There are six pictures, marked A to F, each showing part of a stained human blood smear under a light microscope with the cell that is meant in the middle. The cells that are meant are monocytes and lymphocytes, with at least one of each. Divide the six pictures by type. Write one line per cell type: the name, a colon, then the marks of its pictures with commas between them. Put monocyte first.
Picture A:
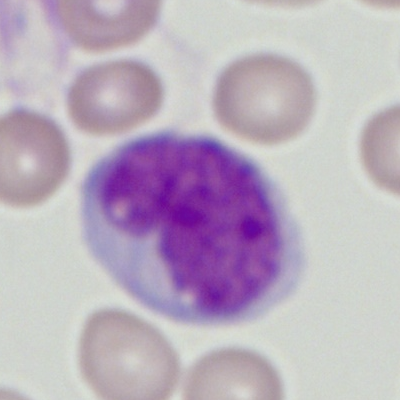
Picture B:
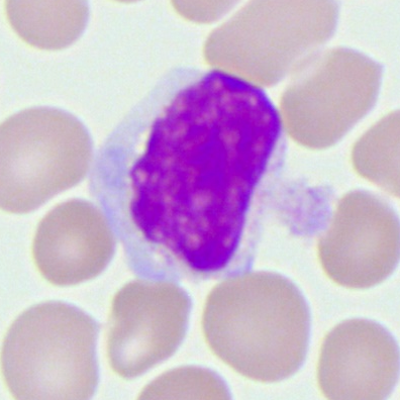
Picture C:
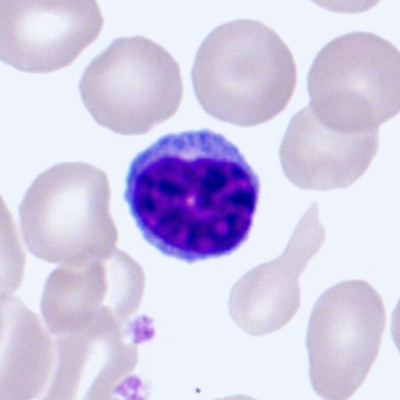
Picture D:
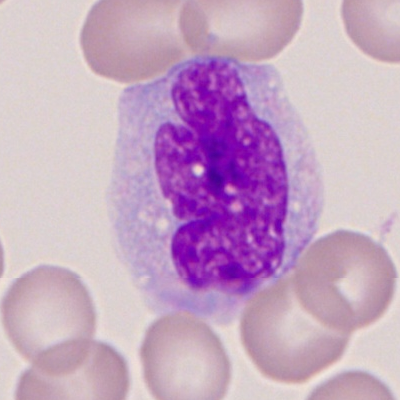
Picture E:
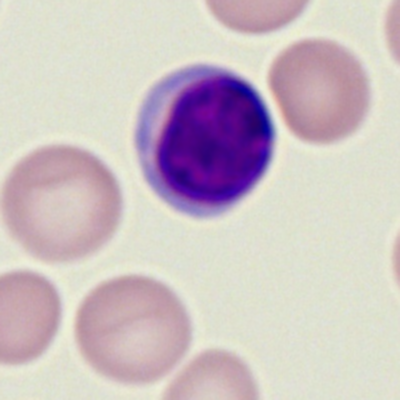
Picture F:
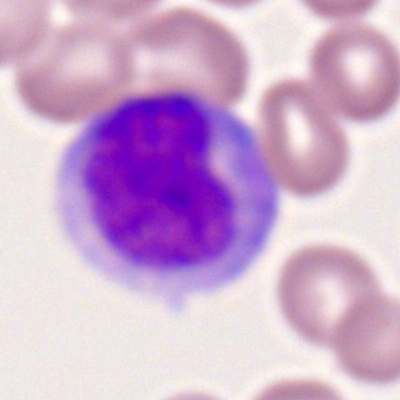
monocyte: A, B, D, F
lymphocyte: C, E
